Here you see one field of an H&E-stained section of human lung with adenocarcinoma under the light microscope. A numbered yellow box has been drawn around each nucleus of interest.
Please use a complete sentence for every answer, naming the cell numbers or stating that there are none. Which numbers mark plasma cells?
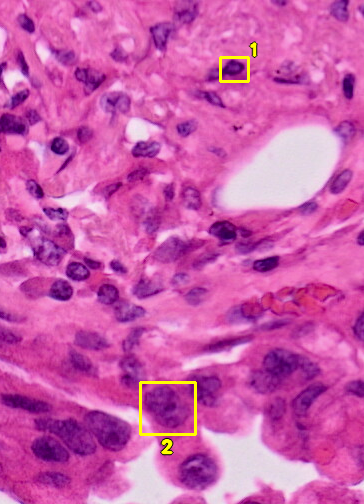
Just the cell marked 1 is a plasma cell; none of the other marked cells is.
